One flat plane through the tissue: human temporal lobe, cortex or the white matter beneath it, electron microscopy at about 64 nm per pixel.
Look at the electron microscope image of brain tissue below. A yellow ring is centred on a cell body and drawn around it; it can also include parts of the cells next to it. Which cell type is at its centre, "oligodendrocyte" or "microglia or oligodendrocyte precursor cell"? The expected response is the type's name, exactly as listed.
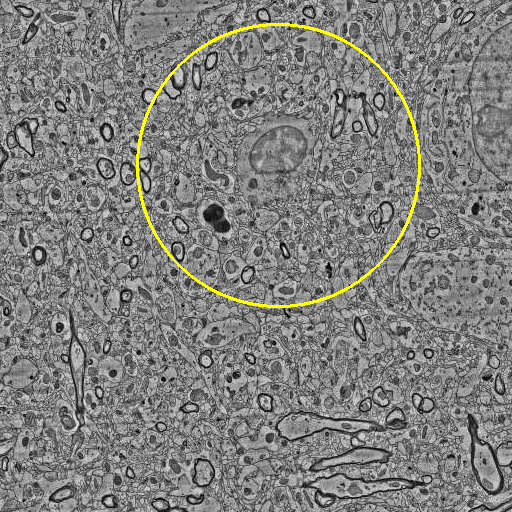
oligodendrocyte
